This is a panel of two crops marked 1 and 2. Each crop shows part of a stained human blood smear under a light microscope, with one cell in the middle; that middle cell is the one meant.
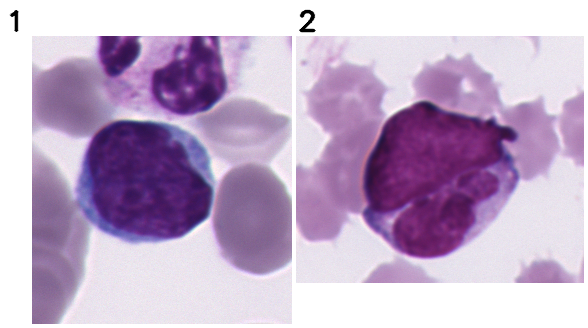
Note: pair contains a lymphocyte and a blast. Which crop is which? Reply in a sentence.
Crop 1 holds a lymphocyte; crop 2 holds a blast.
